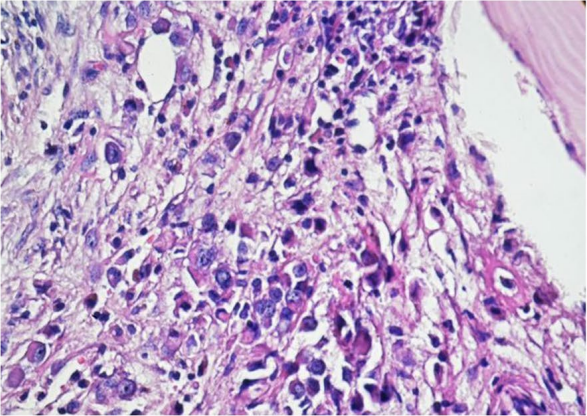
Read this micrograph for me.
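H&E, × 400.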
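A crowded, hypercellular field of mixed inflammatory cells lies within a loose pink fibrillar background beside a pink bony edge at the right. Cells vary in size: some are larger with abundant pink or purple cytoplasm and irregular nuclei, others are smaller with round, dark, often off-centre nuclei, and scattered cells show pink granular cytoplasm. A few clear vessel-like spaces are present. No orderly marrow architecture or fat is seen. The mix of larger histiocyte-like cells, plasma-cell-like forms and pink-granulated cells points to a dense inflammatory infiltrate in the marrow.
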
